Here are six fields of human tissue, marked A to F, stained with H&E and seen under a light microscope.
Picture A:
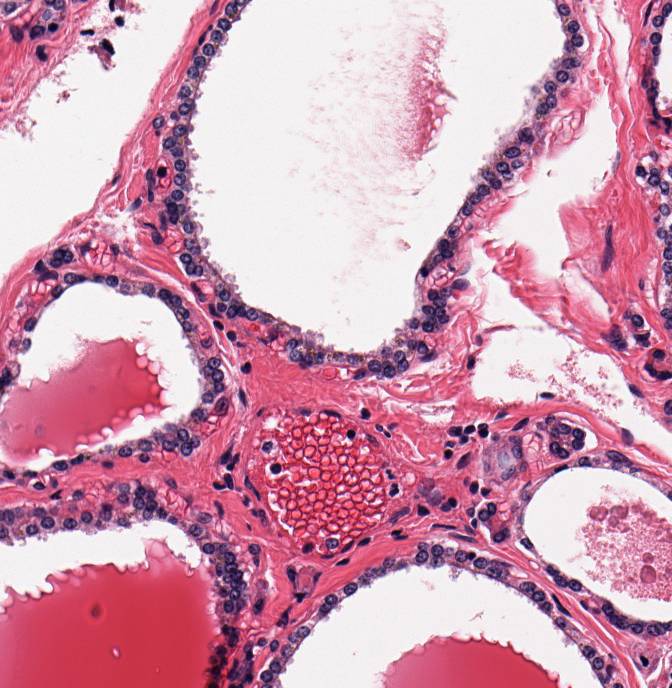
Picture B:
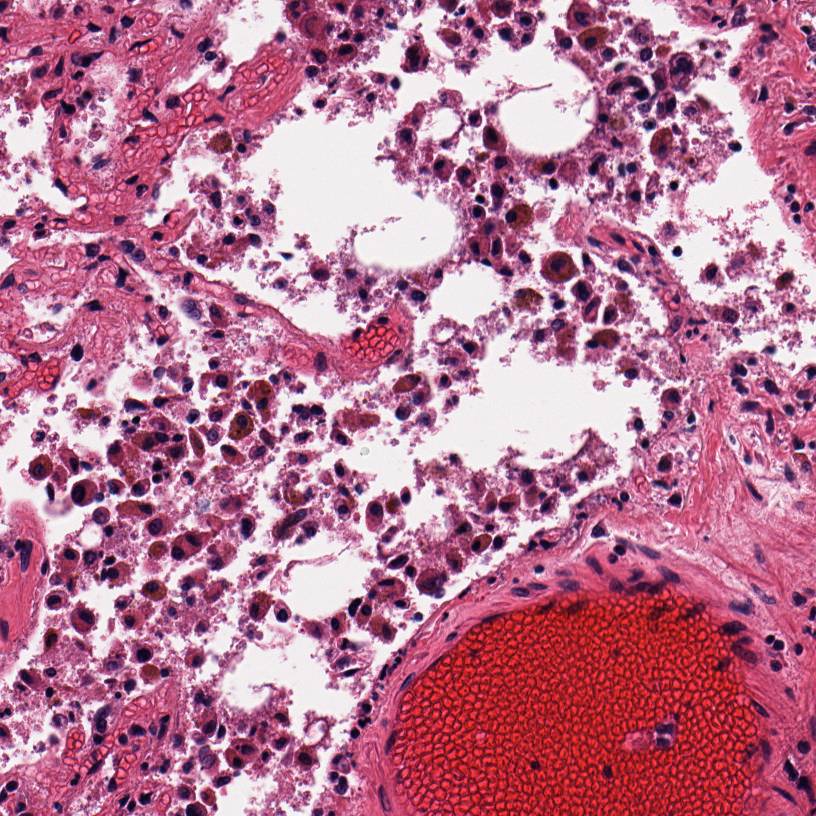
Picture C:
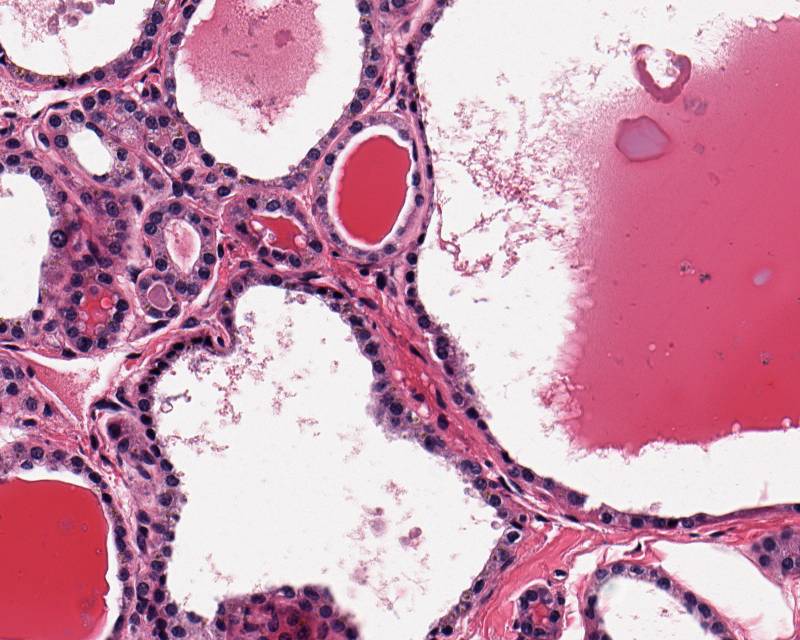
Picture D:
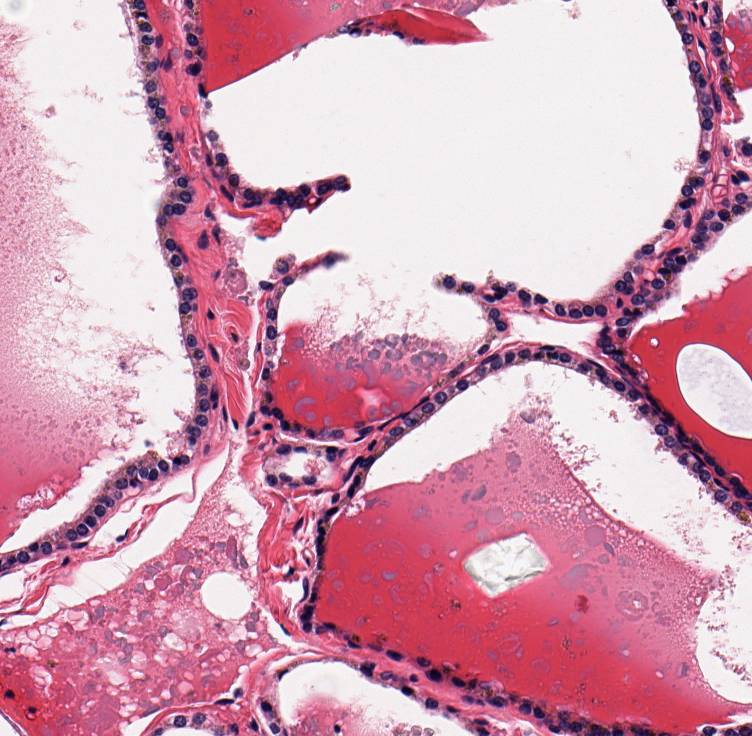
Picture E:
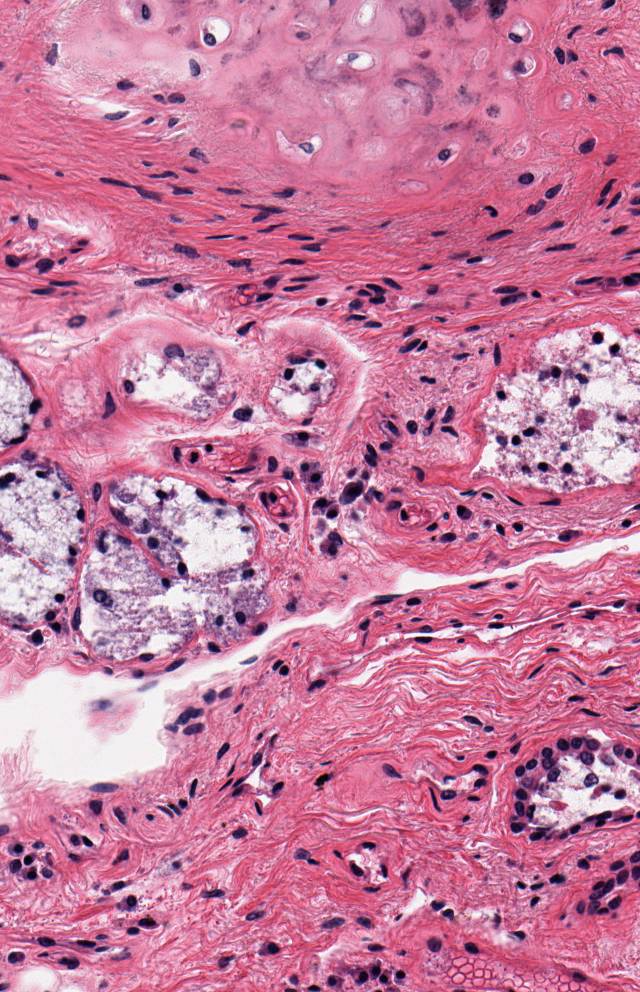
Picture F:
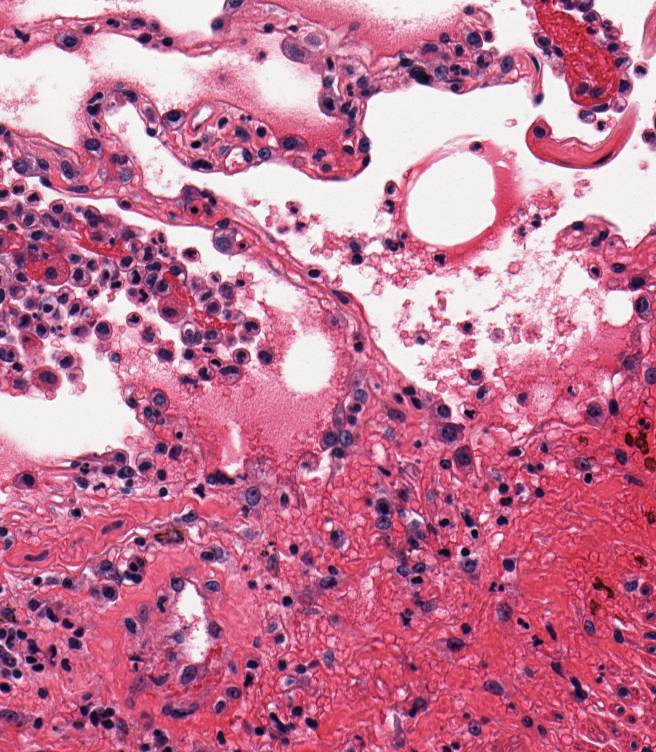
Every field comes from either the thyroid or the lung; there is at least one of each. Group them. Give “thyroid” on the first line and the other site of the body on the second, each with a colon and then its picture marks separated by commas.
thyroid: A, C, D
lung: B, E, F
